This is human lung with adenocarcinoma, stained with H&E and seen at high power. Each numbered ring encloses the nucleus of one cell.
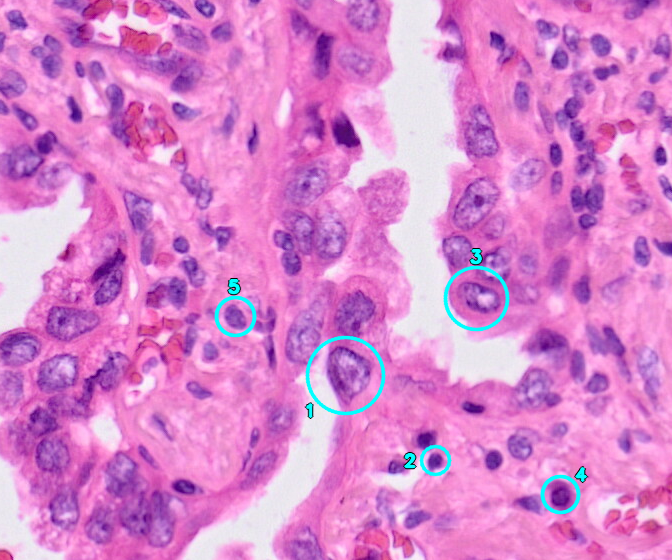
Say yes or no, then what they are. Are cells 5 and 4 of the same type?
No, cell 5 is a lymphocyte and cell 4 is a plasma cell.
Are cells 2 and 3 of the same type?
No, cell 2 is a lymphocyte and cell 3 is a carcinoma cell.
